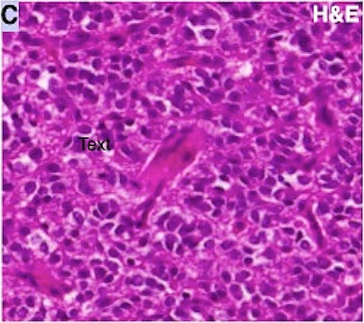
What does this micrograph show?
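Densely packed tumor cells lie in sheets, each with a round, fairly uniform, dark purple nucleus. Around many nuclei the cytoplasm is pale and clear, giving a rim of empty-looking space between neighbouring cells. A thin pink capillary with elongated nuclei in its wall crosses the field obliquely through the middle. The crowding of round nuclei with clear perinuclear halos, set along delicate vessels, is the picture of a hypercellular oligodendroglioma.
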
